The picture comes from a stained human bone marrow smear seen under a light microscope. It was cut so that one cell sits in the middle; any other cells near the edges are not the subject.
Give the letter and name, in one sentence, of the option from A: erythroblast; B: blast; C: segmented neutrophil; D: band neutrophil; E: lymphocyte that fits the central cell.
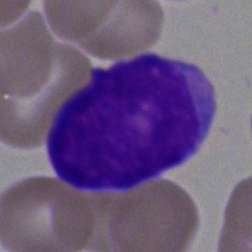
Of the choices given, option B is right, as the central cell is a blast.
